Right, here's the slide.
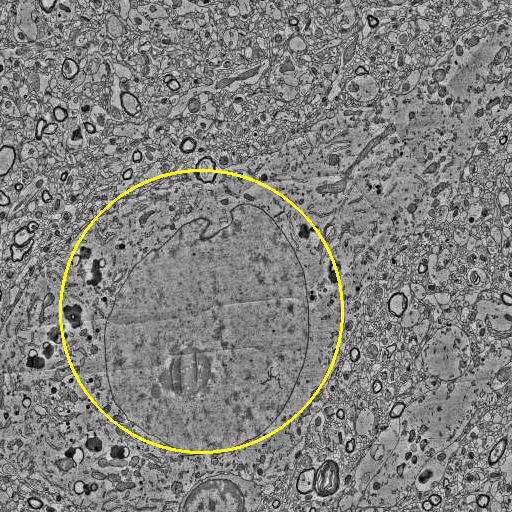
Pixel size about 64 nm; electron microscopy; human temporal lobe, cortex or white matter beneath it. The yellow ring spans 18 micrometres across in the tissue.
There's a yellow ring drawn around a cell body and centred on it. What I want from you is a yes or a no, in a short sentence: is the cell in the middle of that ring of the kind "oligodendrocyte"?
No, it's of some other kind.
